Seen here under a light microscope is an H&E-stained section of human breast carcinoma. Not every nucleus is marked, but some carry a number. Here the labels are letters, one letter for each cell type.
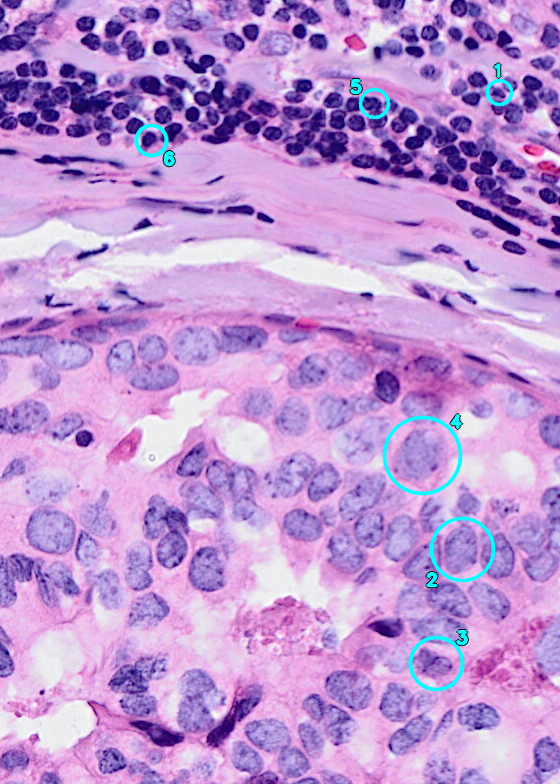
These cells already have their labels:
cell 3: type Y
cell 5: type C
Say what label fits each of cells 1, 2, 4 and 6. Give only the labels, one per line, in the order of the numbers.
type C
type Y
type Y
type C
